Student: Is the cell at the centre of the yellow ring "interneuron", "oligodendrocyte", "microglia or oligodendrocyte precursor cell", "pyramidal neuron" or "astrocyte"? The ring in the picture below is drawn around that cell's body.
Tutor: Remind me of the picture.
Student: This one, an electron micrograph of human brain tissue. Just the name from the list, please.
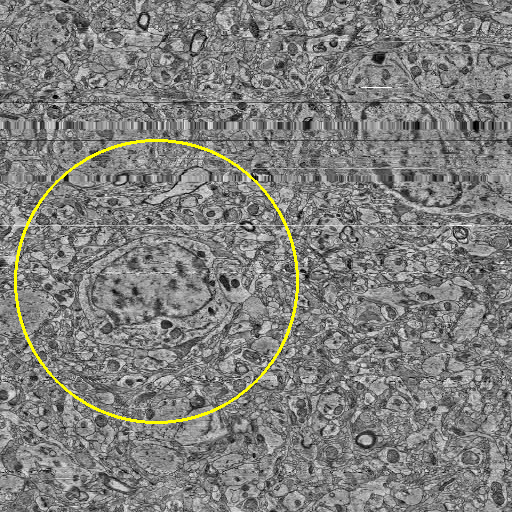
interneuron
